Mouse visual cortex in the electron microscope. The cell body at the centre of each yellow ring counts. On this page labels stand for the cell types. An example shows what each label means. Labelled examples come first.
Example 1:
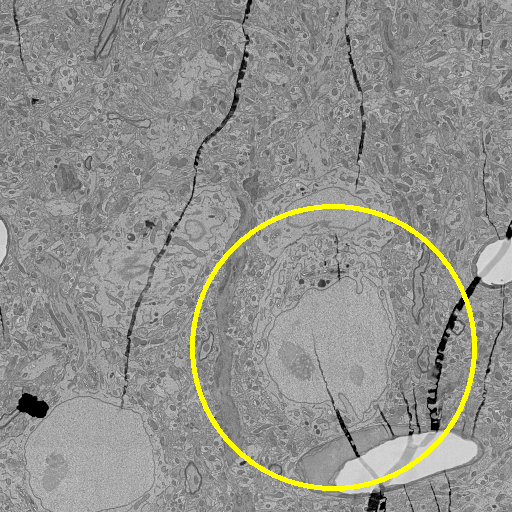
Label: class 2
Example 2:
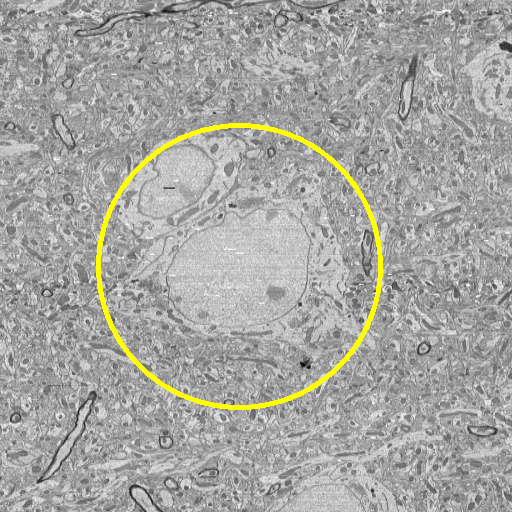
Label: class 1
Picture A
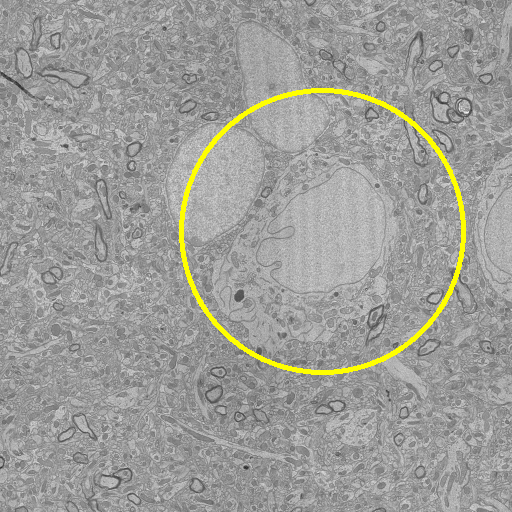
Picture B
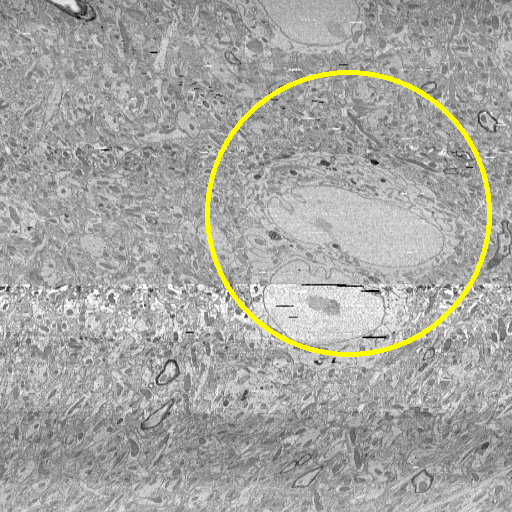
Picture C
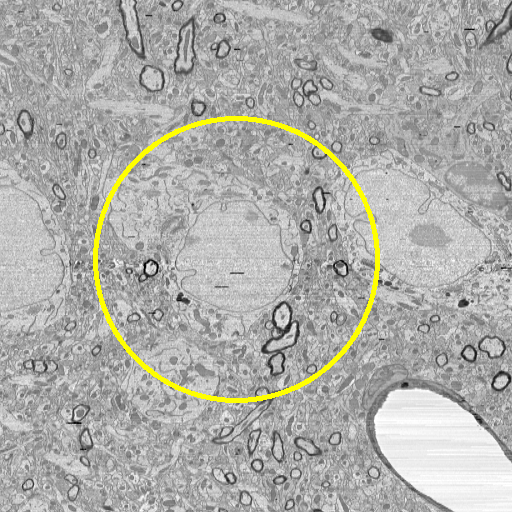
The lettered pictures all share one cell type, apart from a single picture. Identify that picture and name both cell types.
B: class 2; all the others: class 1.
